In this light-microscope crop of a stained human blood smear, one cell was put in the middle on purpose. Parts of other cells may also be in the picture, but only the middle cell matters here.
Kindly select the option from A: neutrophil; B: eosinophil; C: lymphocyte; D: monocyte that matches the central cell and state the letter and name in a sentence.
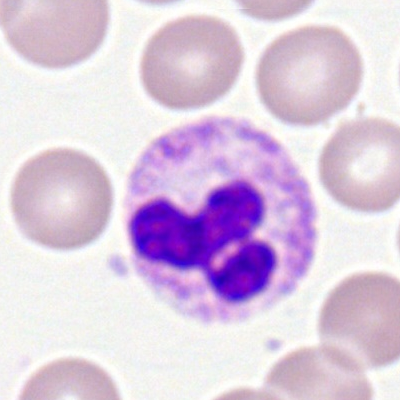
Option A correctly names the cell in the middle as a neutrophil.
